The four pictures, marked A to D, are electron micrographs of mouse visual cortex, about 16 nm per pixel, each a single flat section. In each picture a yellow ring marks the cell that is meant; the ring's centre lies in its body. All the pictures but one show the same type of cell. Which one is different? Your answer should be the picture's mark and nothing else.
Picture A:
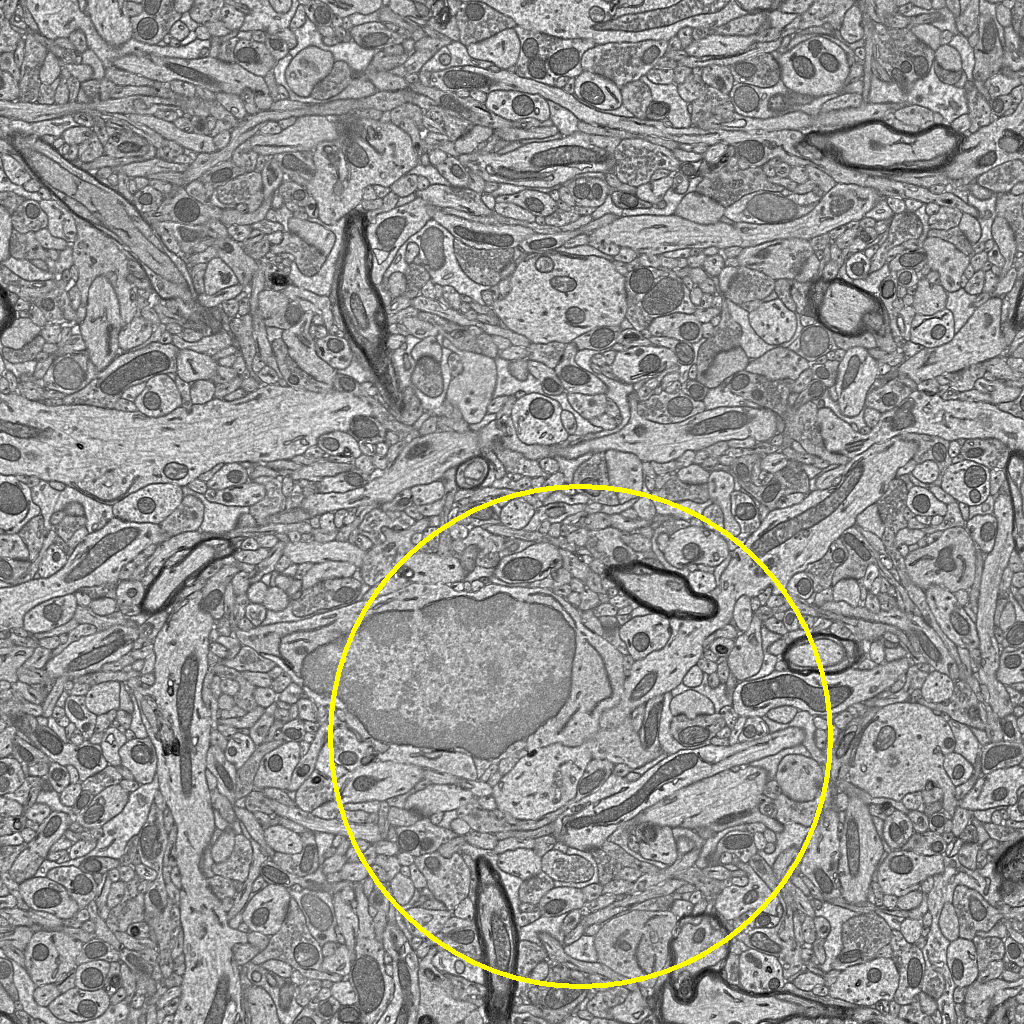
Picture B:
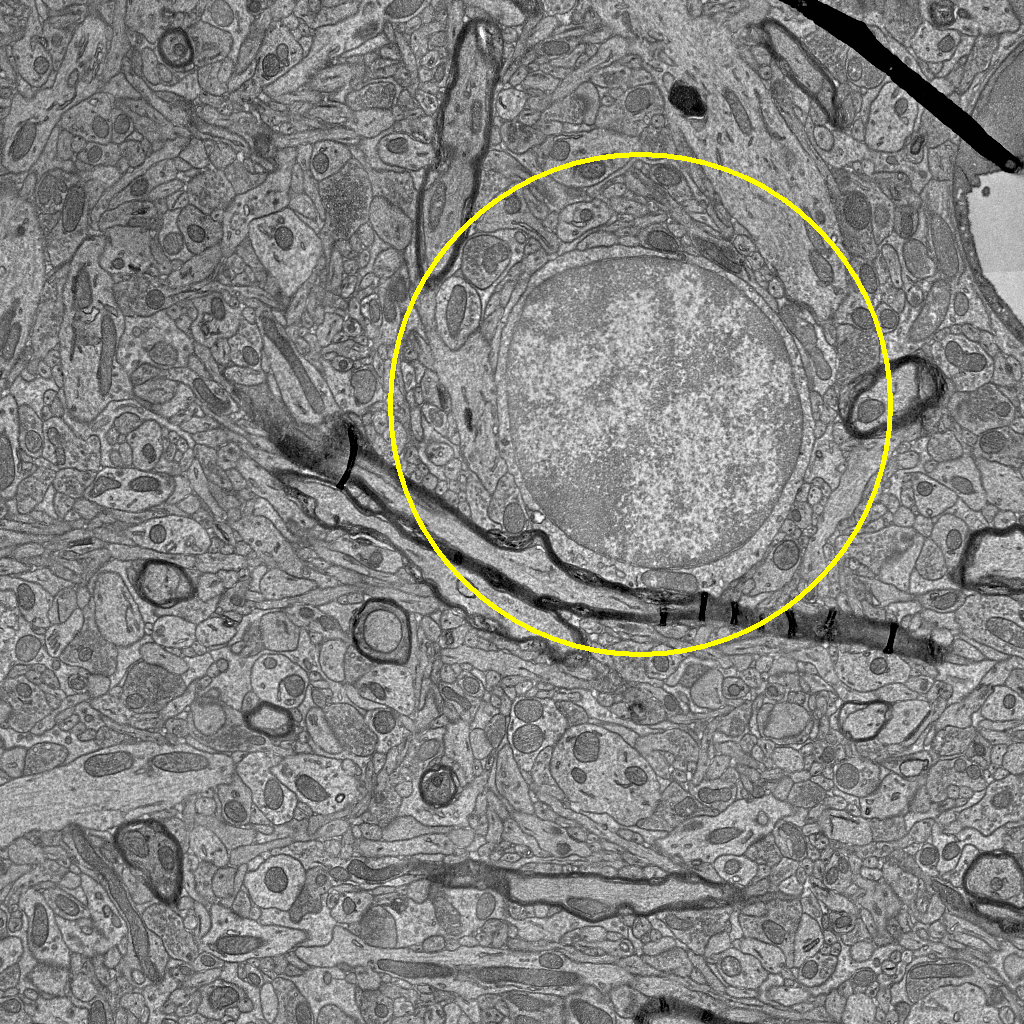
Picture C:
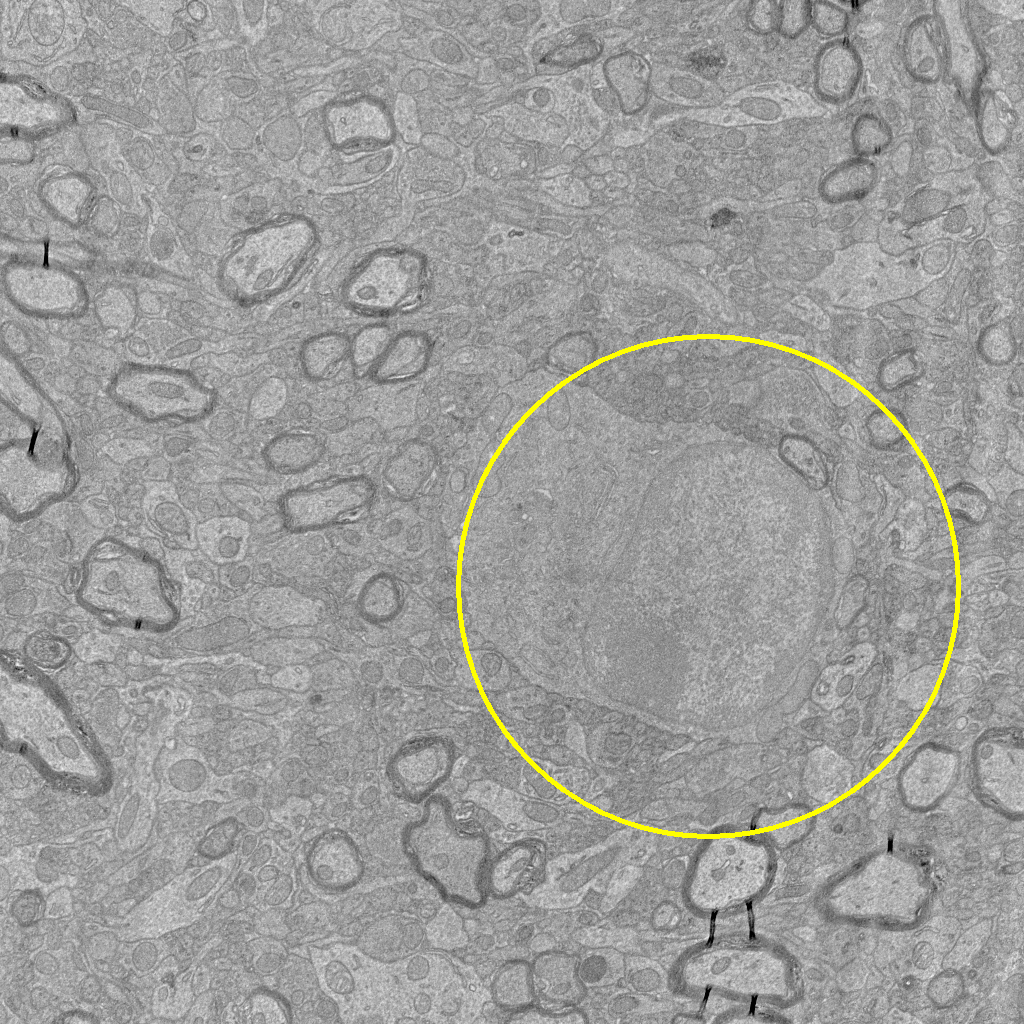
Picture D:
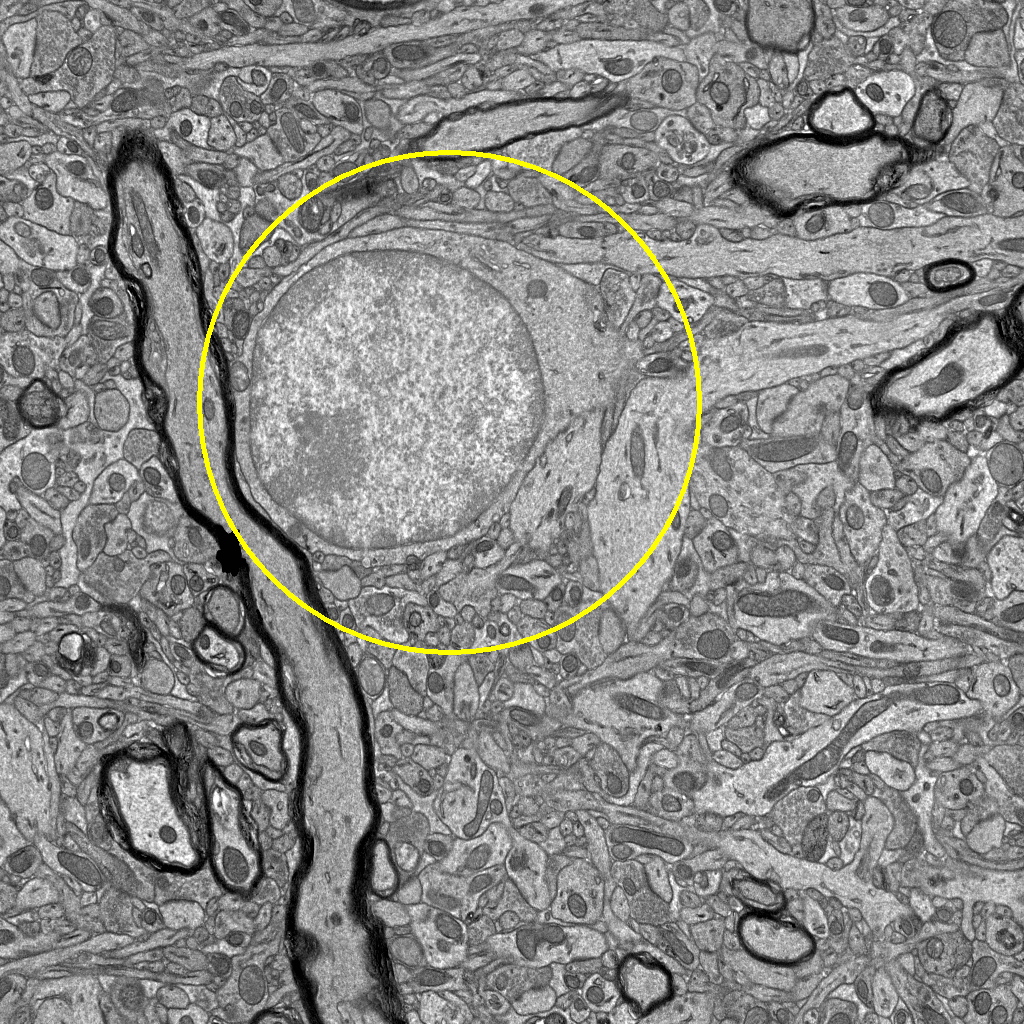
A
